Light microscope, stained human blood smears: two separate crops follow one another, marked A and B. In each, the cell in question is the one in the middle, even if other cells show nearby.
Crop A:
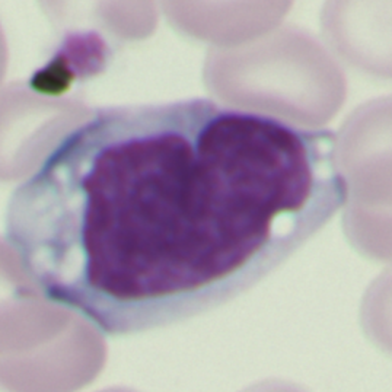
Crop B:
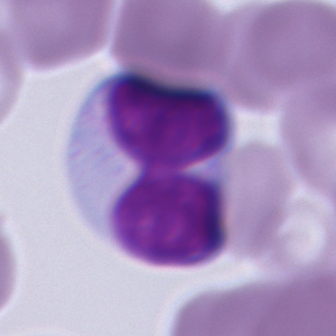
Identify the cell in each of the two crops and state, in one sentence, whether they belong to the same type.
No, crop A corresponds to a monocyte, while crop B corresponds to a large granular lymphocyte.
